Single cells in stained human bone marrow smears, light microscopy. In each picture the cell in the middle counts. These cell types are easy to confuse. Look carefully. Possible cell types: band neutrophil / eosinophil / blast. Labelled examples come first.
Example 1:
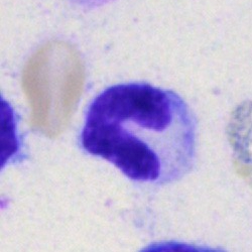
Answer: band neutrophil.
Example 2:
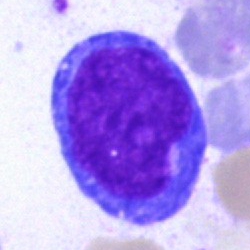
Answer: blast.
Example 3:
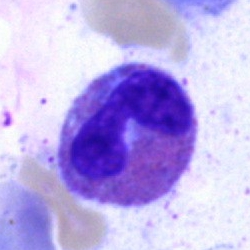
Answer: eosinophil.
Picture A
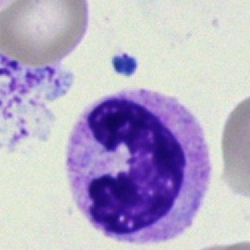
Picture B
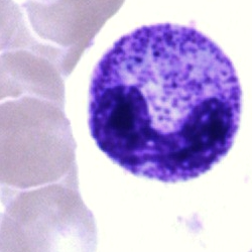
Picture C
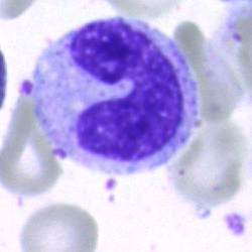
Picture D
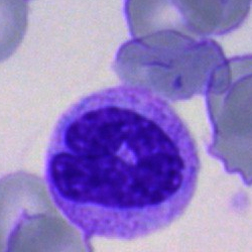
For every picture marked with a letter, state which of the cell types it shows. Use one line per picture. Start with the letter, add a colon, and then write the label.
A: band neutrophil.
B: band neutrophil.
C: band neutrophil.
D: band neutrophil.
